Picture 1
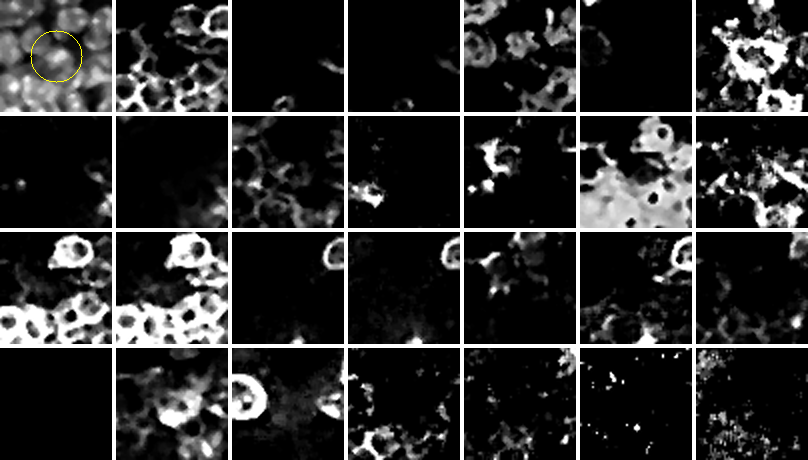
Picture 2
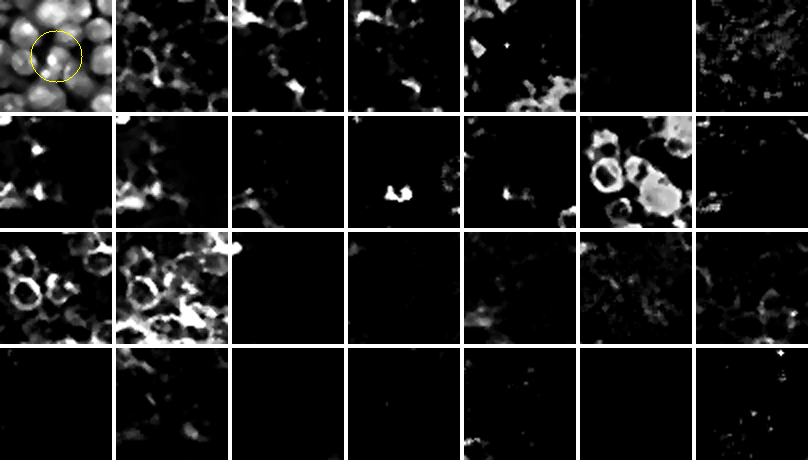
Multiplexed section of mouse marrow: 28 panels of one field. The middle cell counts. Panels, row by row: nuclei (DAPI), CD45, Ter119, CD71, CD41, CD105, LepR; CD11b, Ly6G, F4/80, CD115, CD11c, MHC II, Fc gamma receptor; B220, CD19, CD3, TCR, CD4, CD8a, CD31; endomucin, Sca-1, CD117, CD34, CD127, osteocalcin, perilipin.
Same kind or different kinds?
Different: the first is a LepR-positive perivascular cell, the second a B cell.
